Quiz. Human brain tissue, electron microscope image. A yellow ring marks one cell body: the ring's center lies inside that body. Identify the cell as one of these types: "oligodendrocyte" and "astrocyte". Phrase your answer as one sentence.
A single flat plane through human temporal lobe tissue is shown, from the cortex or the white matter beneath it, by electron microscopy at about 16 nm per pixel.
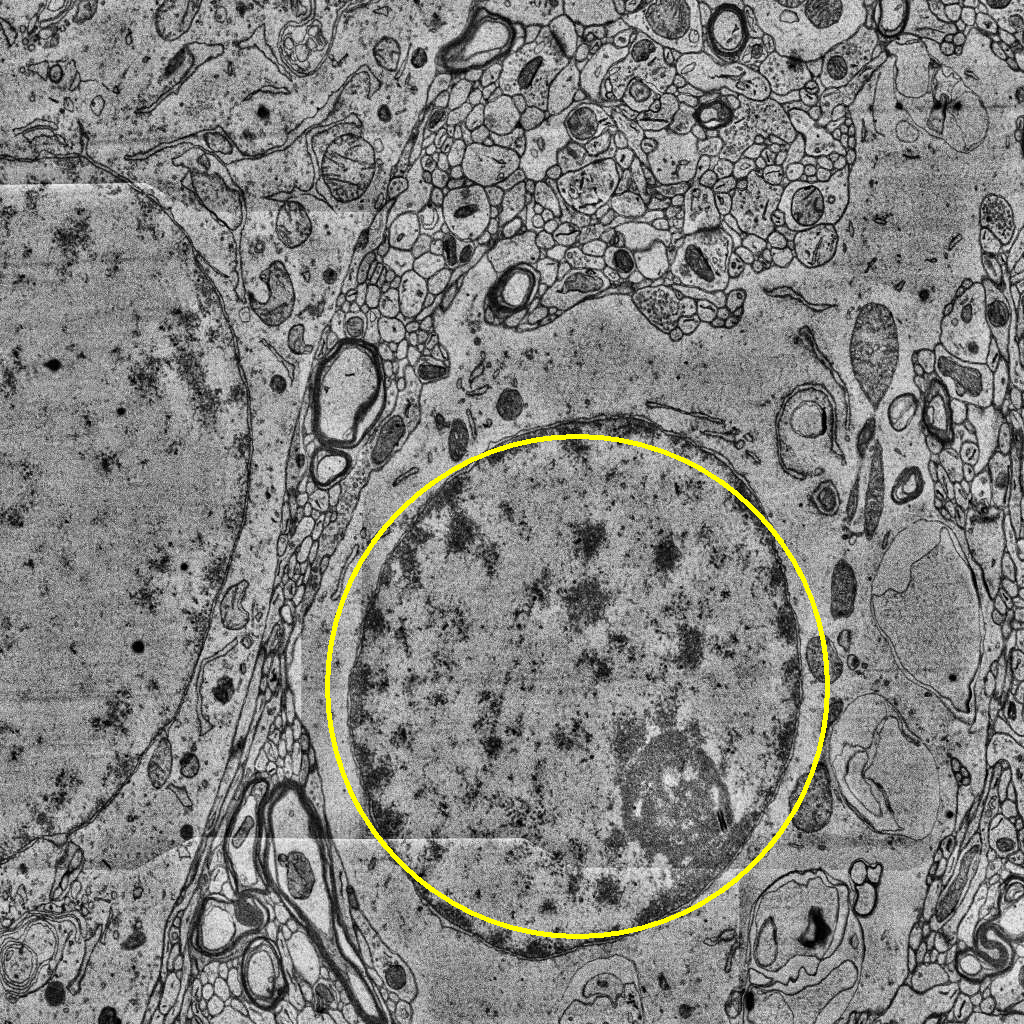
At the center of the ring sits an astrocyte.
